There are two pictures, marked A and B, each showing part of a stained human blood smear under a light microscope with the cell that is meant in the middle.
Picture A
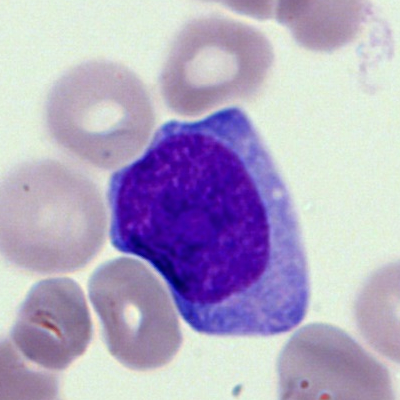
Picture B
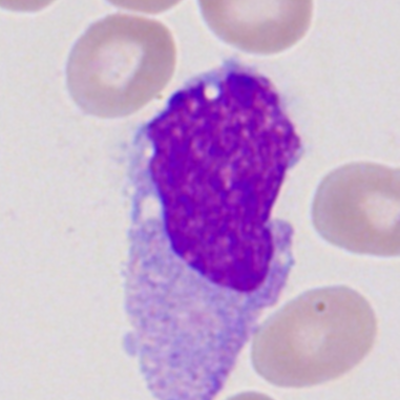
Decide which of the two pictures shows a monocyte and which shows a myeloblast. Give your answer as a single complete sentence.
It is picture A that shows a myeloblast, and picture B that shows a monocyte.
